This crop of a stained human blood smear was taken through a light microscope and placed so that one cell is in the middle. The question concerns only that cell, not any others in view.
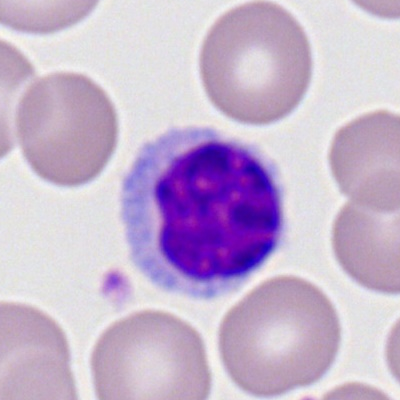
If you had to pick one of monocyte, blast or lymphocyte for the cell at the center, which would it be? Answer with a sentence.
The cell shown in the center of this light-microscope crop is a lymphocyte.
